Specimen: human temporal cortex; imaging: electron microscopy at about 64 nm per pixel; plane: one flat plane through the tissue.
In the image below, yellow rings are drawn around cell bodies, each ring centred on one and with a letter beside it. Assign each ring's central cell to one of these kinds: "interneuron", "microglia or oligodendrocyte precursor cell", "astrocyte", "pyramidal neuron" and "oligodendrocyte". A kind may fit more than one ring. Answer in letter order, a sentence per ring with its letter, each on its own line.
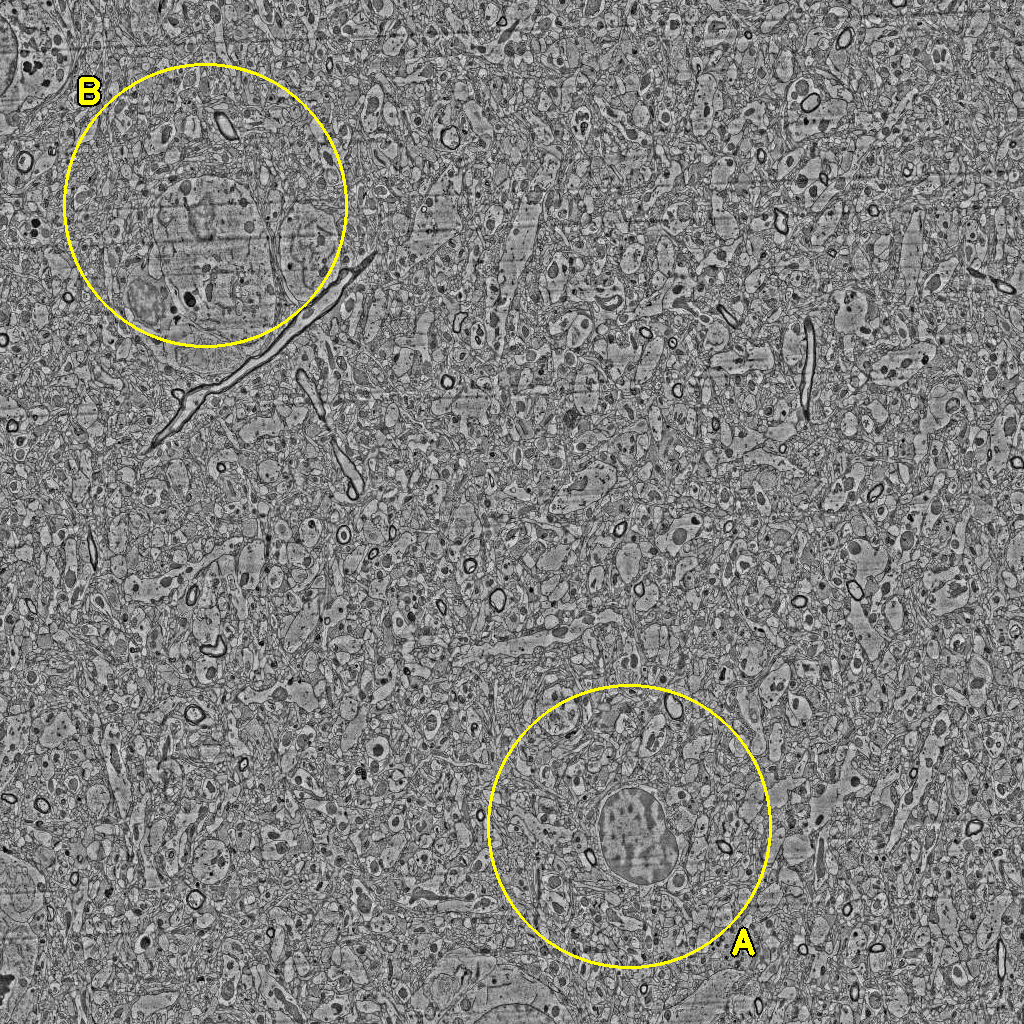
The central cell of ring A is a microglial cell or oligodendrocyte precursor cell.
The central cell of ring B is a pyramidal neuron.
